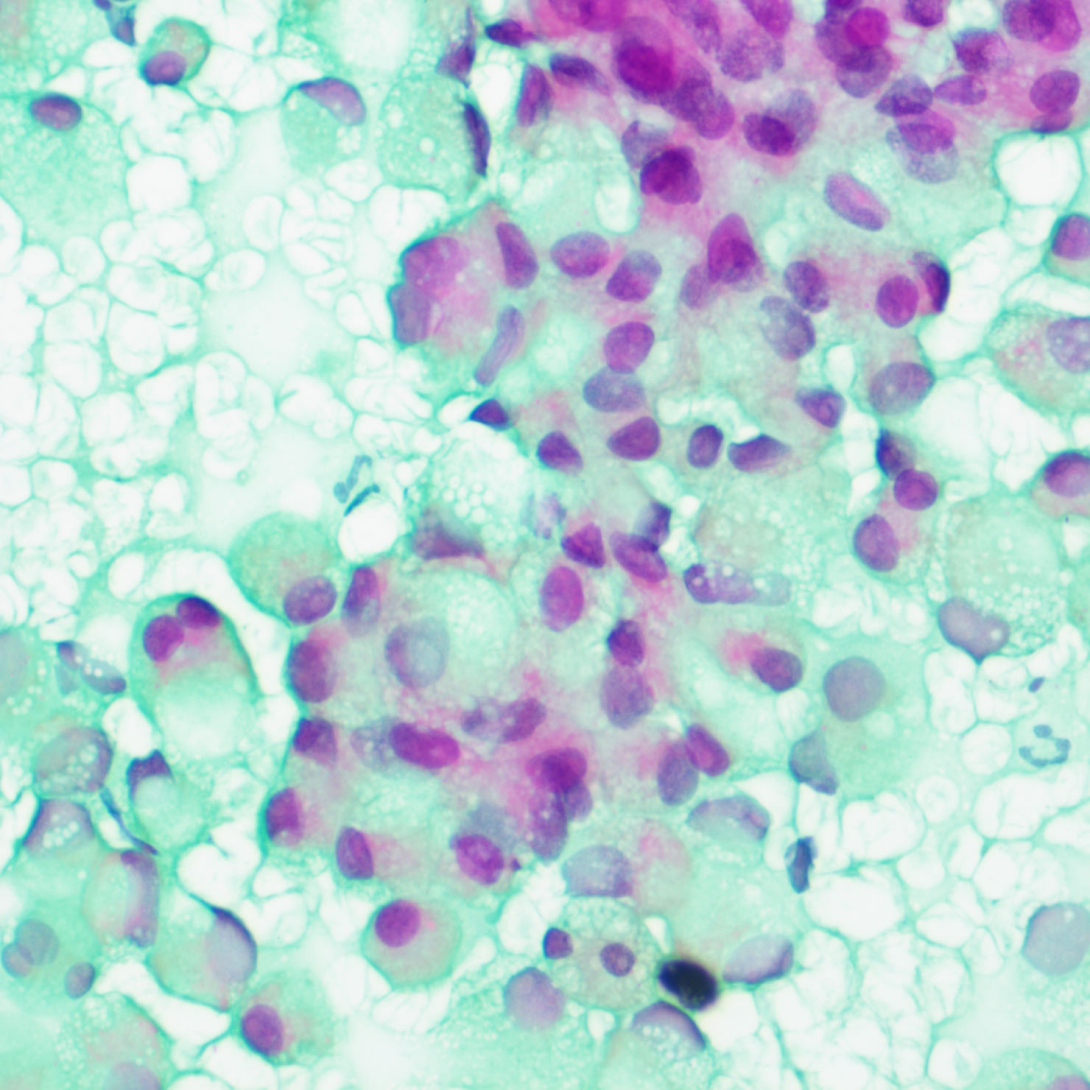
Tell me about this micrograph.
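This smear shows clusters of atypical cells, many with a signet-ring look: round cells whose cytoplasm is filled with pale, bubbly, finely vacuolated material that pushes the nucleus to one edge, where it lies as a flattened crescent. In the upper right a crowded group has dark purple-magenta nuclei of varying size and shape, some oval, some angular, with uneven outlines, set in cytoplasm tinged pink and green. The nuclei overlap and lie irregularly rather than in an orderly sheet. The background between the cells is filled with pale green, lacy, bubble-like material.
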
